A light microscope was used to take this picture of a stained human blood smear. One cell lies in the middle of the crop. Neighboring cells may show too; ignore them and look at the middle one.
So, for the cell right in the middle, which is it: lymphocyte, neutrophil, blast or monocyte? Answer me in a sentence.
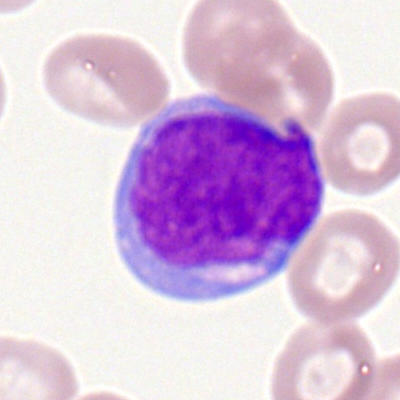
The target cell in the middle of the crop is a blast.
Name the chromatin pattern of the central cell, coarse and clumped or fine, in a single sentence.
The chromatin pattern here is coarse and clumped.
